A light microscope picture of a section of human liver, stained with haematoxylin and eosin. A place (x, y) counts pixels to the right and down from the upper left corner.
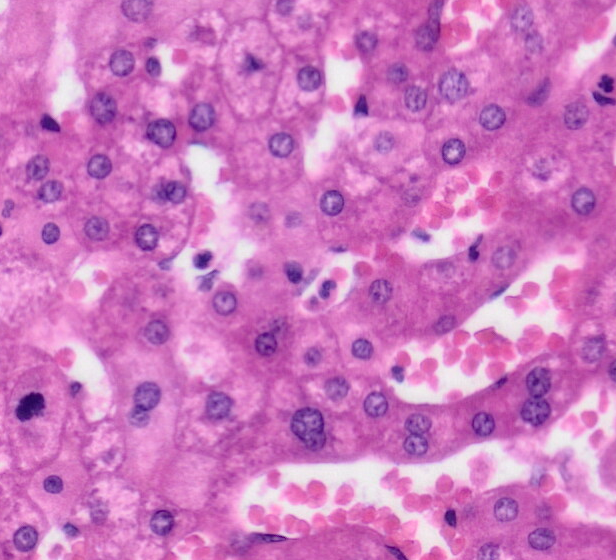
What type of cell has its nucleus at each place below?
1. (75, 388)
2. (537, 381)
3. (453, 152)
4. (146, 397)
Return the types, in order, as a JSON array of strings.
["Kupffer cell", "hepatocyte", "hepatocyte", "hepatocyte"]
